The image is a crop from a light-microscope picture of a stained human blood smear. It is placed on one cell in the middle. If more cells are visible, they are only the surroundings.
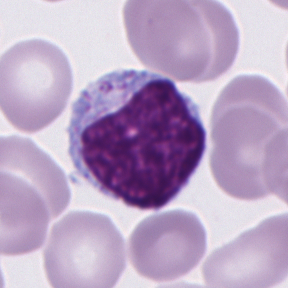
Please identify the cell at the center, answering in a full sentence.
The cell at the heart of this crop is a large granular lymphocyte.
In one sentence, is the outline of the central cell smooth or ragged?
Irregular and not smooth, the cell boundary is ragged or drawn out into projections.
